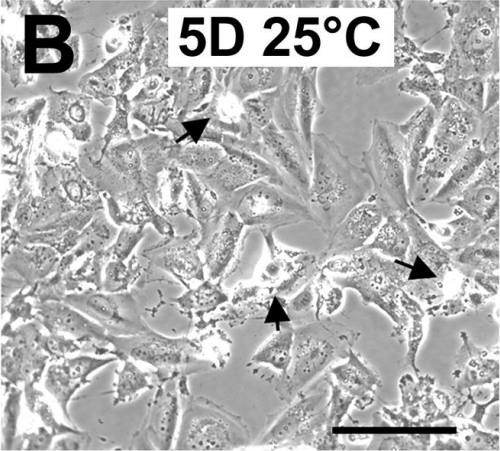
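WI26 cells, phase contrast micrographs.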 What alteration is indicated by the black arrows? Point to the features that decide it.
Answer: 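The arrowed cells appear bright white with a halo under phase contrast. The arrowed cells look more rounded and compact than the flat cells around them.
Answer: refringent, apoptotic-like cells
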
